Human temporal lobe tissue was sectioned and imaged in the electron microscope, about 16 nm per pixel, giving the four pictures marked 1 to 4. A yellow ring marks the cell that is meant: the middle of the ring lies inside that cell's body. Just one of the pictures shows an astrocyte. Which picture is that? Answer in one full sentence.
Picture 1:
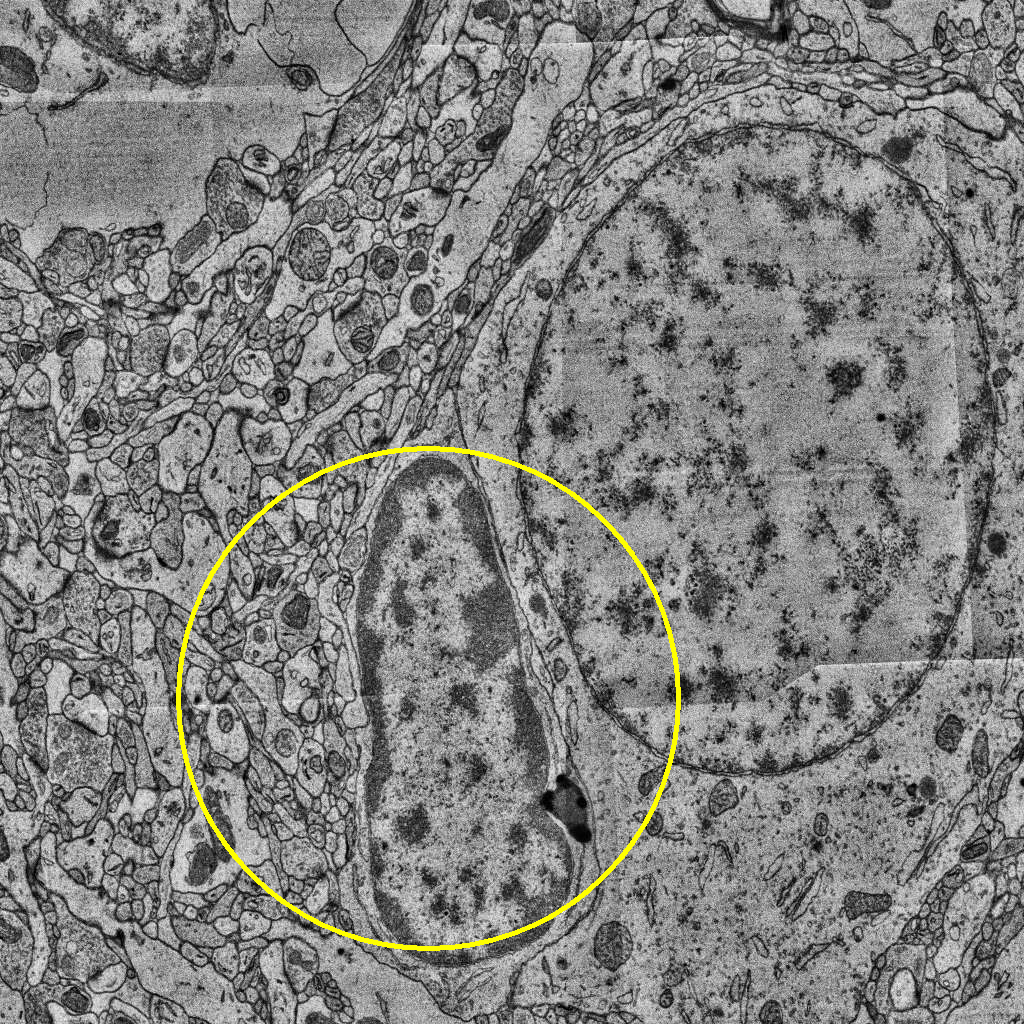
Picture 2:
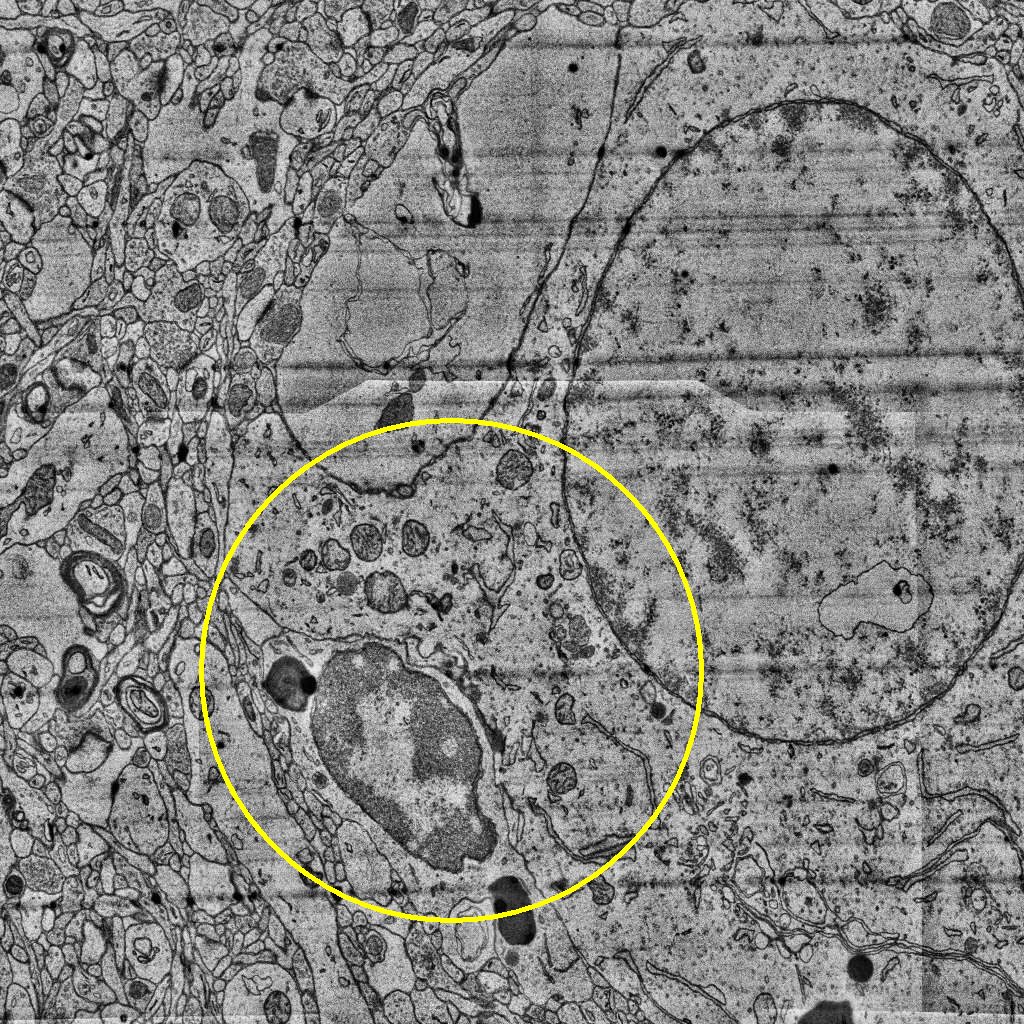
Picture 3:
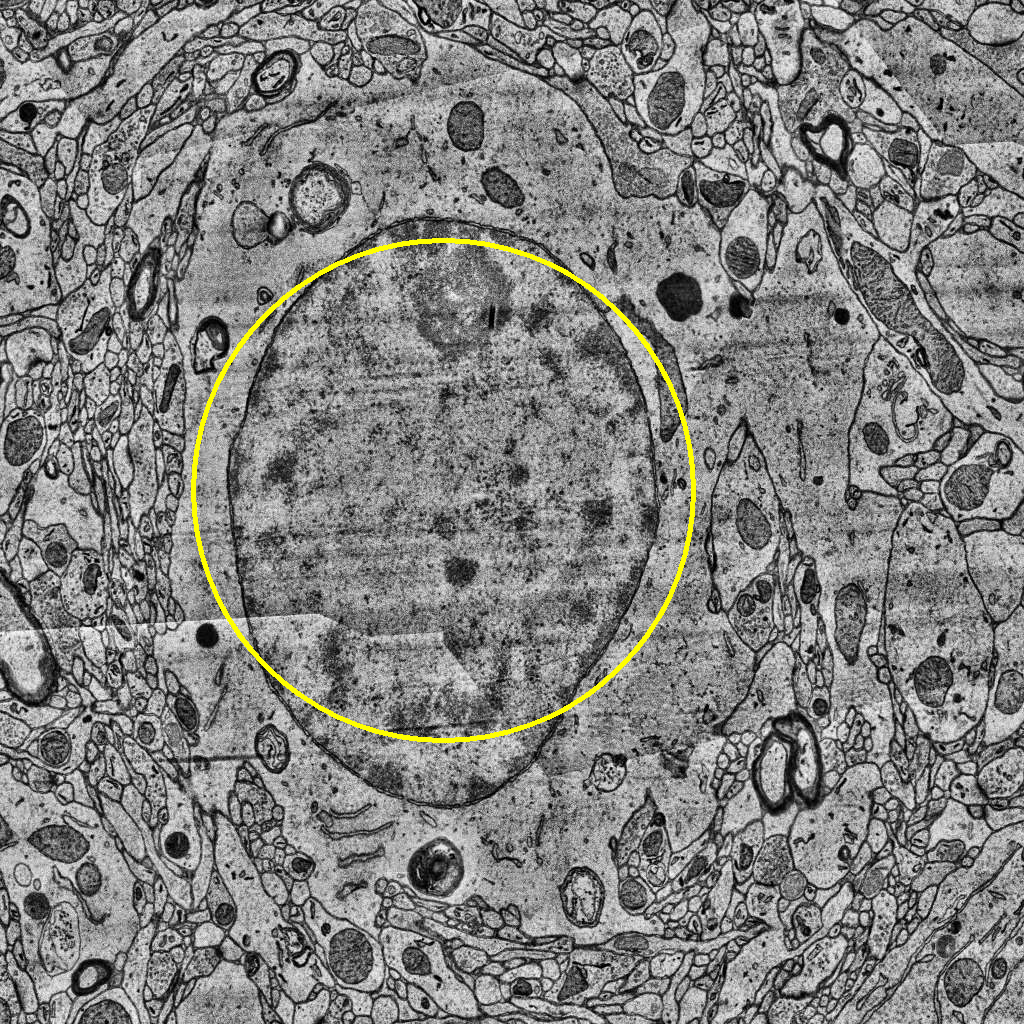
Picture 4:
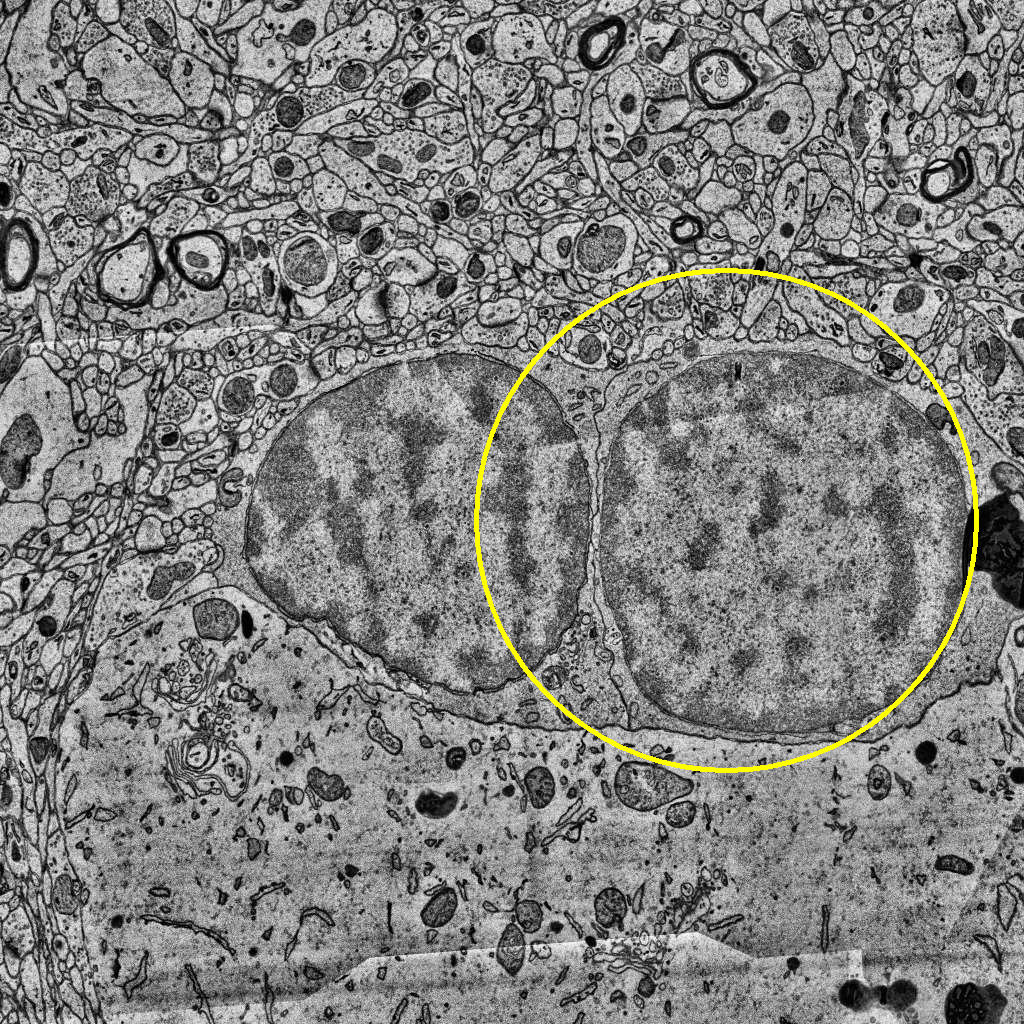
The cell in picture 3 is the astrocyte.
